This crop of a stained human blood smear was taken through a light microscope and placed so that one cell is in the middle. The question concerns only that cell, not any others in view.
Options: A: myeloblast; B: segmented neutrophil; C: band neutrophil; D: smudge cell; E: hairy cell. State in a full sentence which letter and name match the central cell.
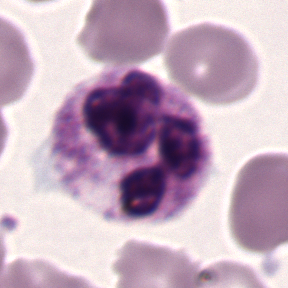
The central cell is a segmented neutrophil, which makes option B the right answer.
